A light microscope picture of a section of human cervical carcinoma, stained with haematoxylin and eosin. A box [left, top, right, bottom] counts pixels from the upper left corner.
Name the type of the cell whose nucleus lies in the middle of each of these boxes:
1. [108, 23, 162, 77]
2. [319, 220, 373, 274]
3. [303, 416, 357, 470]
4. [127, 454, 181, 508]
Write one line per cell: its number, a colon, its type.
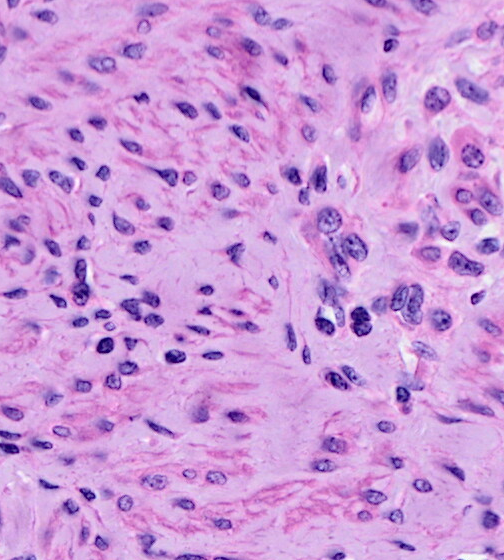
1: smooth muscle cell
2: endothelial cell
3: smooth muscle cell
4: smooth muscle cell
